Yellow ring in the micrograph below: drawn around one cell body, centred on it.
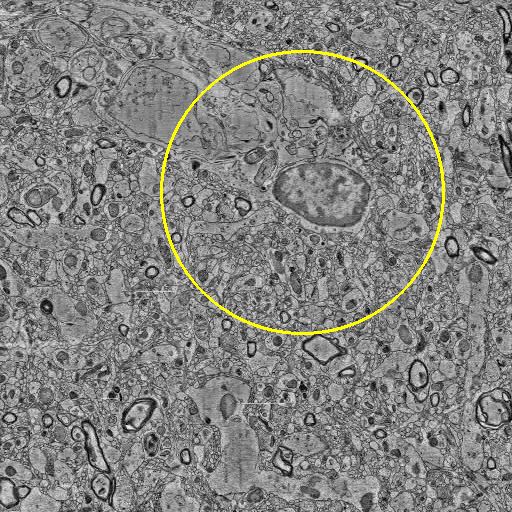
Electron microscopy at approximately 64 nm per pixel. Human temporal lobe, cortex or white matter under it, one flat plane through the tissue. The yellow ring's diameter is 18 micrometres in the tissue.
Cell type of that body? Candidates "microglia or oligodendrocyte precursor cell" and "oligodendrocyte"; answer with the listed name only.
microglia or oligodendrocyte precursor cell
